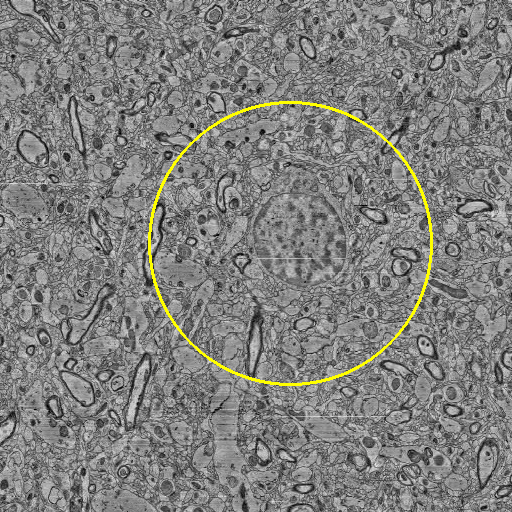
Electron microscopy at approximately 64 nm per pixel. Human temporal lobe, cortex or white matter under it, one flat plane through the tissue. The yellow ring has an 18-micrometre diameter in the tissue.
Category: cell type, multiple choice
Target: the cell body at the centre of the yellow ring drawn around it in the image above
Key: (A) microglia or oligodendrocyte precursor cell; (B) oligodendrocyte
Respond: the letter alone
B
